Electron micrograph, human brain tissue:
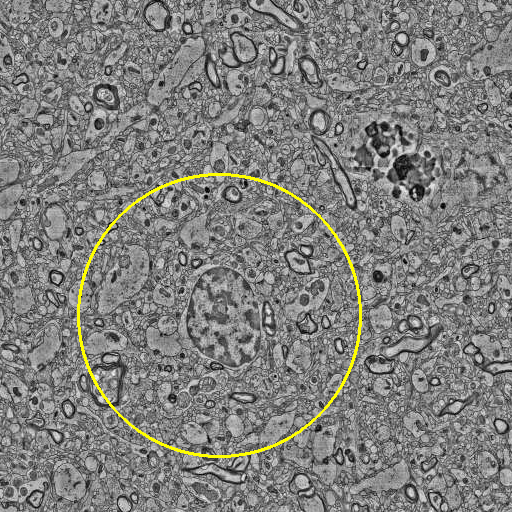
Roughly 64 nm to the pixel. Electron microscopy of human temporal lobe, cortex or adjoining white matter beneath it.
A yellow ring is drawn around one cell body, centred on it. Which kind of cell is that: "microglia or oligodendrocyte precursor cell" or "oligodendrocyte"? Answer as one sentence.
It is a microglial cell or oligodendrocyte precursor cell at the centre of the ring.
